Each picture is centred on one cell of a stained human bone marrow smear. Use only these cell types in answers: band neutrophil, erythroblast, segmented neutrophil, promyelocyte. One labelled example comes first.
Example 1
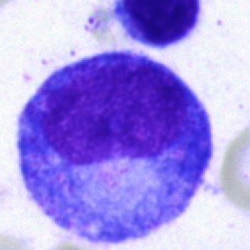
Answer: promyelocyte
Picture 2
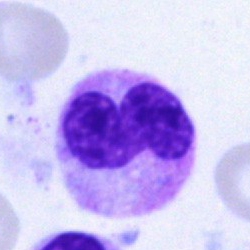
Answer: band neutrophil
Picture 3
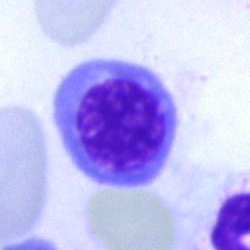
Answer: erythroblast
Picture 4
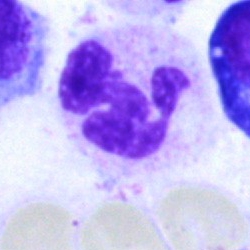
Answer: segmented neutrophil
